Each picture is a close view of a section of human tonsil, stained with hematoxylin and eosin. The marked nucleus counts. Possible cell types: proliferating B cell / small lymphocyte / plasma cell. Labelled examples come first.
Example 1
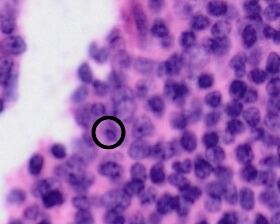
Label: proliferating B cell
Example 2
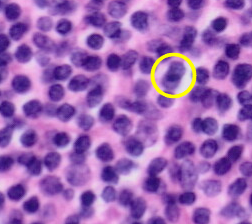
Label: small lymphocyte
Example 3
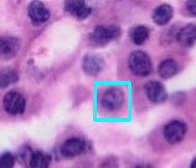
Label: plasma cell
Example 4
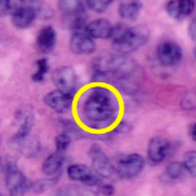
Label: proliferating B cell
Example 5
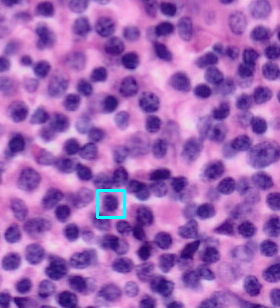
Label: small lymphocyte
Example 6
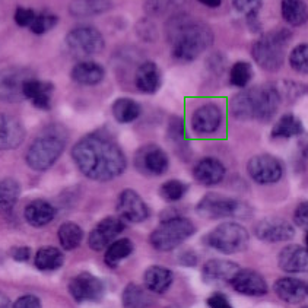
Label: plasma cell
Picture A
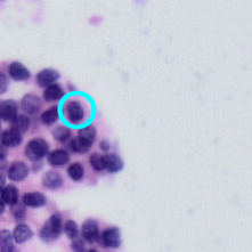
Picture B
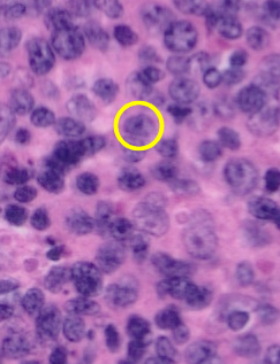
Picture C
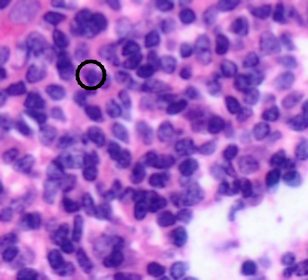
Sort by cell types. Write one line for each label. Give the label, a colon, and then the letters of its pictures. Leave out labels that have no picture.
proliferating B cell: B
small lymphocyte: A, C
